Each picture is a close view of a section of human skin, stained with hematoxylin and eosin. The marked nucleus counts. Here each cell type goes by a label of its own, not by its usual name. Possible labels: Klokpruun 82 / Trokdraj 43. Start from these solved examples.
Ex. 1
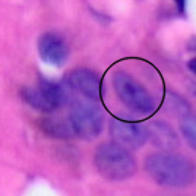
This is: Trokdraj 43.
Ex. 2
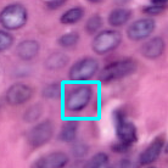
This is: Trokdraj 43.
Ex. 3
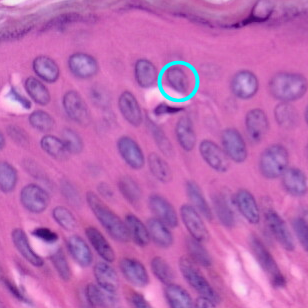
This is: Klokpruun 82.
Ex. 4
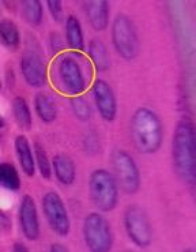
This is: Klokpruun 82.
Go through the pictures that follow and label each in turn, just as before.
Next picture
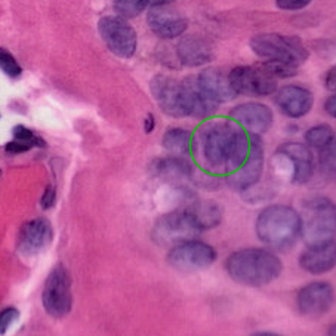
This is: Trokdraj 43.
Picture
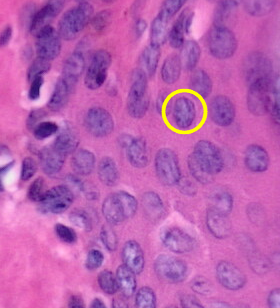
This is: Klokpruun 82.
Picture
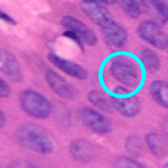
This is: Klokpruun 82.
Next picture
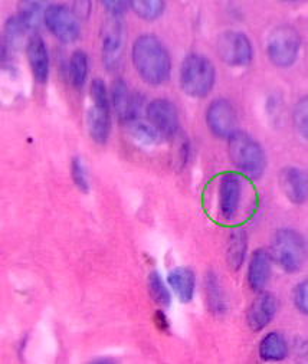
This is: Trokdraj 43.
